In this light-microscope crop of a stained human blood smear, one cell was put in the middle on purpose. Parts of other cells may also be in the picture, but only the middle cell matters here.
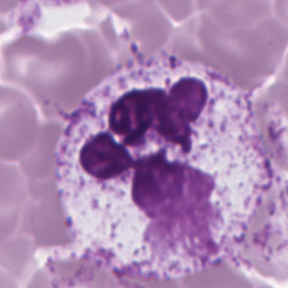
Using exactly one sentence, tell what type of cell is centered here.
The centrally placed cell is classified as a segmented neutrophil.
